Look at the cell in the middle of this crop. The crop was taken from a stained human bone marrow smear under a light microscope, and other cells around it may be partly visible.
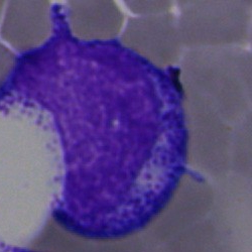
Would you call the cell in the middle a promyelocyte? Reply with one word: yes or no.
yes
